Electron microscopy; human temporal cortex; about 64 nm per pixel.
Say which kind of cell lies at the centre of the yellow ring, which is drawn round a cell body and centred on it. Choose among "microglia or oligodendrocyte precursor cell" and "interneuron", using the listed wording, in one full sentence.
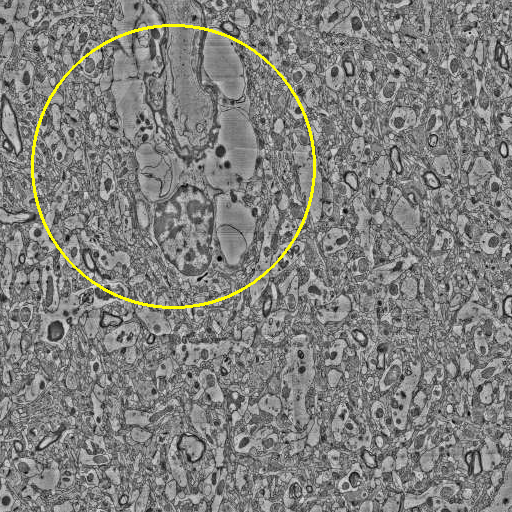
Going by the list, the cell at the yellow ring's centre is a microglial cell or oligodendrocyte precursor cell.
